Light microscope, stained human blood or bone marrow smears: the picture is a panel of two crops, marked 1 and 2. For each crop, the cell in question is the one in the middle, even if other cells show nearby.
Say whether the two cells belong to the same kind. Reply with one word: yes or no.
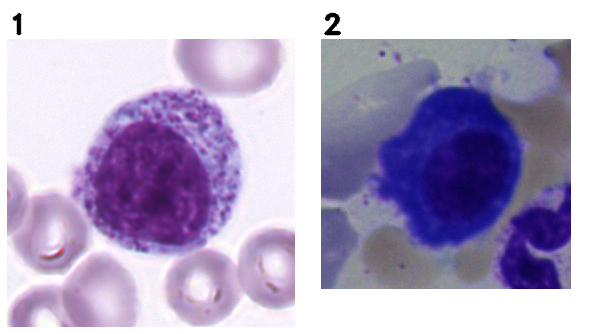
no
